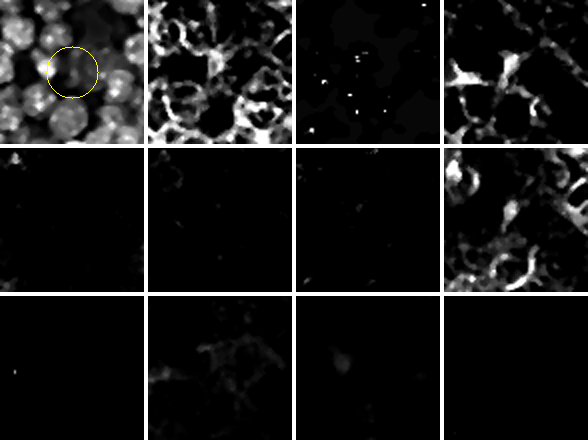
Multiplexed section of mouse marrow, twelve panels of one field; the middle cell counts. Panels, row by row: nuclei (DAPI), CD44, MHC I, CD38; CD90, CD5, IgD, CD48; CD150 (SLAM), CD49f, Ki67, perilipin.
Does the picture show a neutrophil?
Yes.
